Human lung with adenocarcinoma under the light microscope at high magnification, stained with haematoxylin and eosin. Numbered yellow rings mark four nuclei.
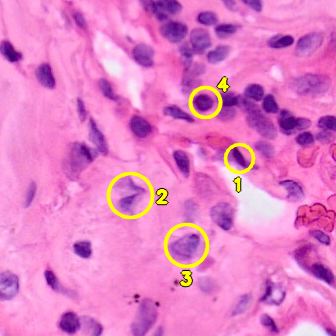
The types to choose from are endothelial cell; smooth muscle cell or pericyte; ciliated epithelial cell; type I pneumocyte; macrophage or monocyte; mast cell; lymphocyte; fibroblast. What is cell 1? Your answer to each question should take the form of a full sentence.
The correct label for cell 1 is an endothelial cell.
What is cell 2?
The cell tagged with 2 in this tissue section is a fibroblast.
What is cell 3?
Cell 3 of the marked set is a fibroblast.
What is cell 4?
The cell that goes by number 4 is a lymphocyte.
